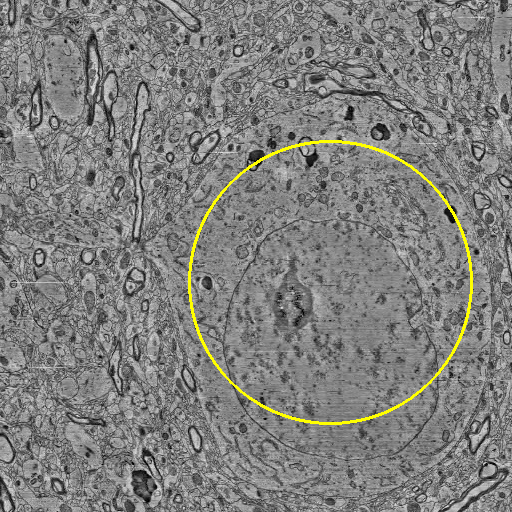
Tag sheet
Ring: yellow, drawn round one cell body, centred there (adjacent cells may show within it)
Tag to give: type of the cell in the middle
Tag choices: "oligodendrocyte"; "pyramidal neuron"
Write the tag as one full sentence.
I tag the cell centred in the yellow ring as a pyramidal neuron in this picture.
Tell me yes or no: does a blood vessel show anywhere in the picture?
No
